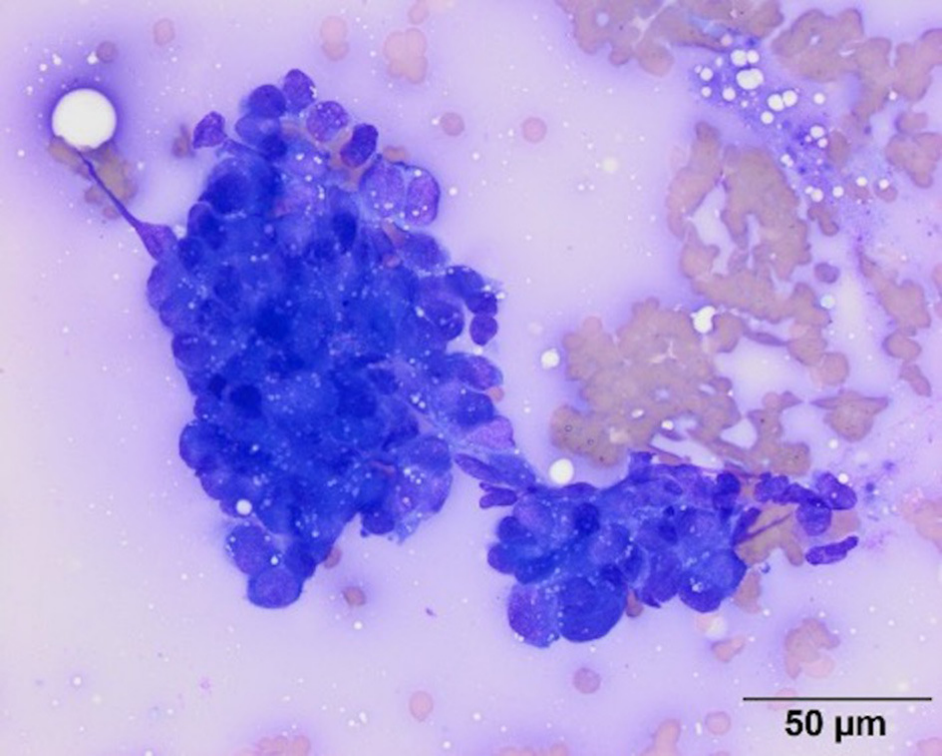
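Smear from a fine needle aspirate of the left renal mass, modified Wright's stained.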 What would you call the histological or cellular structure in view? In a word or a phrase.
Irregularly shaped dense clusters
